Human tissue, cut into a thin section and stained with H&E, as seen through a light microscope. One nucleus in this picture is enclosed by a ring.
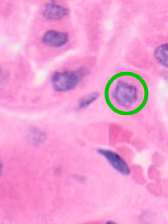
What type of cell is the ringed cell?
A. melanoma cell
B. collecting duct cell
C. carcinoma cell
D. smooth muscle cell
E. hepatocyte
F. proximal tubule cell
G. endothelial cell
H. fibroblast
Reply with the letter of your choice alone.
F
